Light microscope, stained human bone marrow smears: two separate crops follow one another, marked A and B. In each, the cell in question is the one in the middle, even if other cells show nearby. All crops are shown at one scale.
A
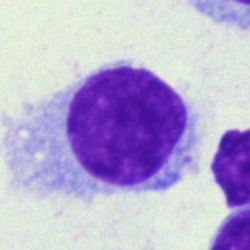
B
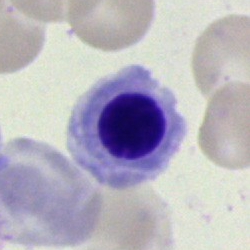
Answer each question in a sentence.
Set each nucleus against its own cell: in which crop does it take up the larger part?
Of the two, the nucleus in crop A makes up the greater part of its cell.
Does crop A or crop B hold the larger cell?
The cell in crop A is larger, with about 1.5 times the area of the one in crop B.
